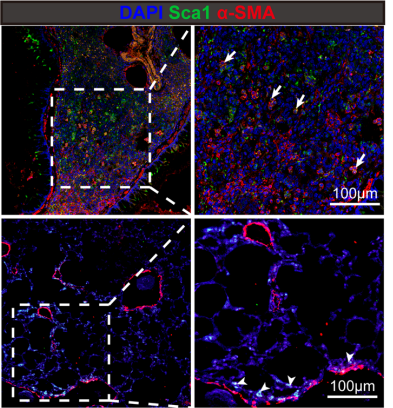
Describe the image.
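These are sections of lung. In the upper row the tissue is dense and crowded with blue nuclei, with the open alveolar spaces largely gone, and many green cells and red streaks lie scattered through it. In the lower row the lung has thin alveolar walls around open airspaces, and red rims a few larger walls where small arrowheads point to cells along them.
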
